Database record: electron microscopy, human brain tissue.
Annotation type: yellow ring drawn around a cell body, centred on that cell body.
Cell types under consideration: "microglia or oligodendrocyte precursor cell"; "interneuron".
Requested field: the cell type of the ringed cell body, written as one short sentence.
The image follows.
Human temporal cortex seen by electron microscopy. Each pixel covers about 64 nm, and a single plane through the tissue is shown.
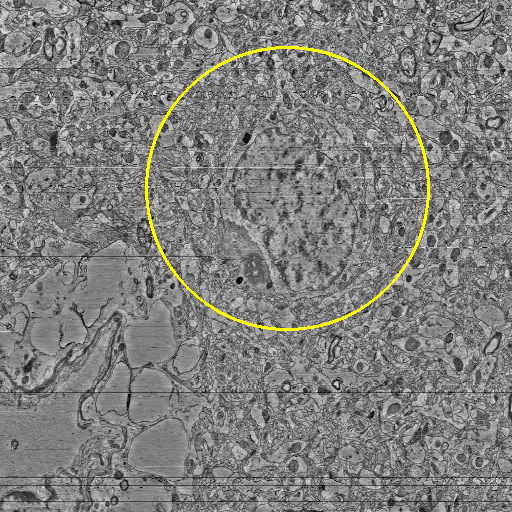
The ringed cell body represents an interneuron.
